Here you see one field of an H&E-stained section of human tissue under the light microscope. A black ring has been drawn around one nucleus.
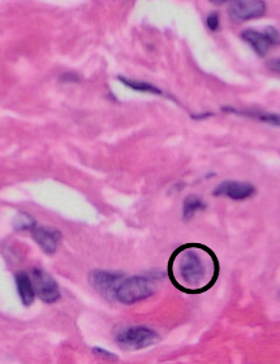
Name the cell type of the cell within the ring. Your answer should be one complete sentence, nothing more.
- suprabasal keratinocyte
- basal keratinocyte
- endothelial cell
It is as an endothelial cell that the cell within the ring is recorded.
